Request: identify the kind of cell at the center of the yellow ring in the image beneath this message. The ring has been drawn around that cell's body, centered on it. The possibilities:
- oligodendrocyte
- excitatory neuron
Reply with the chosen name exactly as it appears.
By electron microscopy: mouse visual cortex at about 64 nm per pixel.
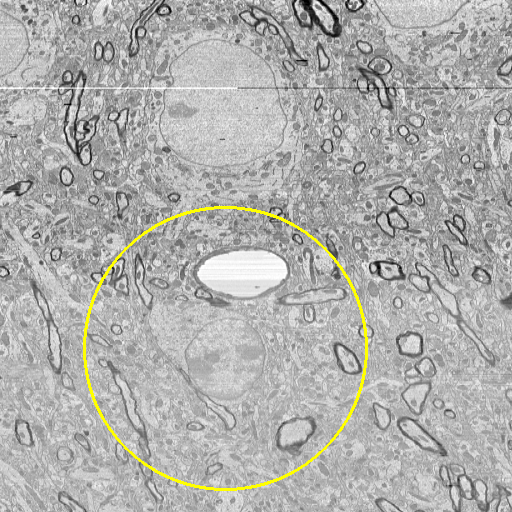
oligodendrocyte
